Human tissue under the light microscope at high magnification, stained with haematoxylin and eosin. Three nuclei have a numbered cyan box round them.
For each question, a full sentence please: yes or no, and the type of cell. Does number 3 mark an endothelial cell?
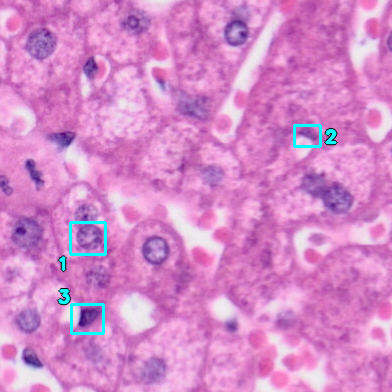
No, cell 3 is classified as a fibroblast or stellate cell rather than an endothelial cell.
